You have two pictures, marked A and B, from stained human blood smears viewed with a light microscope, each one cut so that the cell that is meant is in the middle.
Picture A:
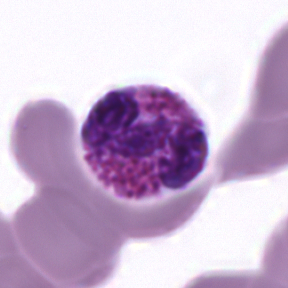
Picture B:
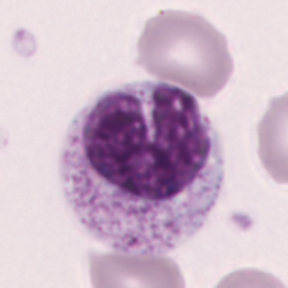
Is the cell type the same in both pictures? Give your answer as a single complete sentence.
No. Picture A shows an eosinophil, but picture B shows a band neutrophil.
